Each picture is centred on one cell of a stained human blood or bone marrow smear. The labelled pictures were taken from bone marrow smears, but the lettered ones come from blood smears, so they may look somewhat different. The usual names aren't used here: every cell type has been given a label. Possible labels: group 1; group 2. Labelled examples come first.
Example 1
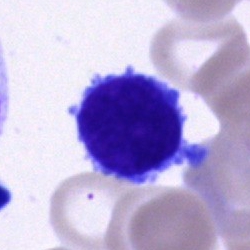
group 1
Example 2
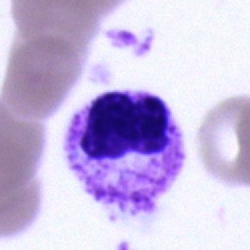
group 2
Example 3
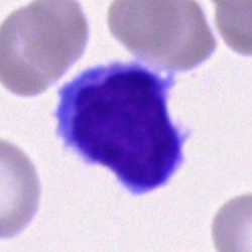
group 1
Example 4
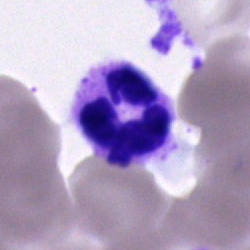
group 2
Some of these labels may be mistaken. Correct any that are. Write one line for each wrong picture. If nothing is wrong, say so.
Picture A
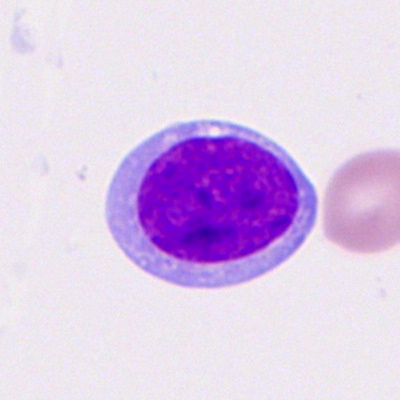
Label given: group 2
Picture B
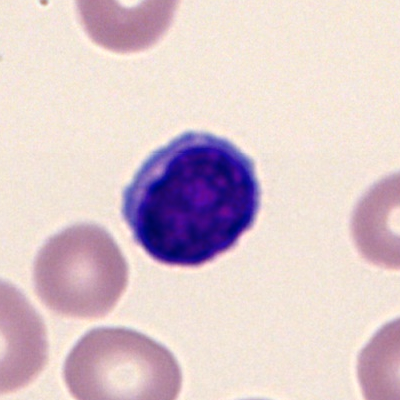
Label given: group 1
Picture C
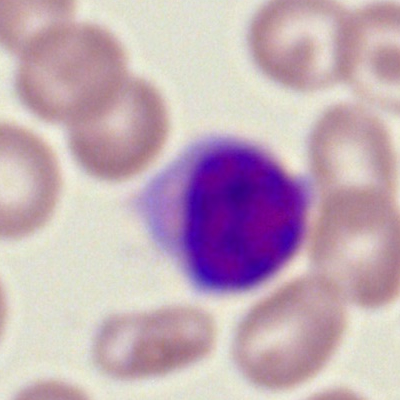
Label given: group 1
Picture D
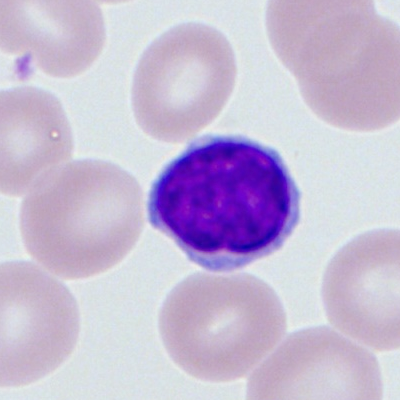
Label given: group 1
Wrong: A (group 2); correct: group 1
